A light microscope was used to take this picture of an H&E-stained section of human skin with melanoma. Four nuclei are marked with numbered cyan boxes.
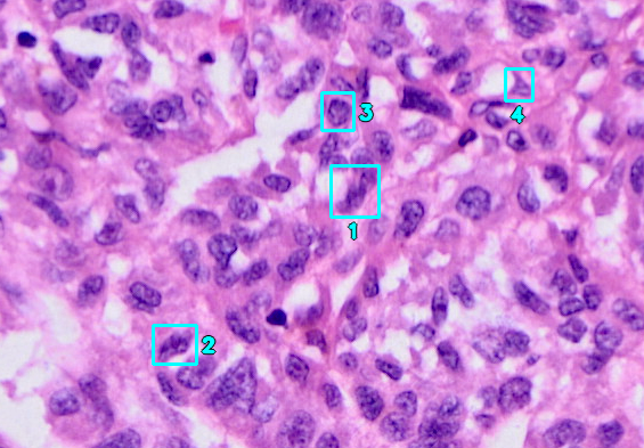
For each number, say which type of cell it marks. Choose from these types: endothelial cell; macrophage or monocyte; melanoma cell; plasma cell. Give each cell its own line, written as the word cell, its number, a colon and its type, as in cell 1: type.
cell 1: melanoma cell
cell 2: melanoma cell
cell 3: melanoma cell
cell 4: endothelial cell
